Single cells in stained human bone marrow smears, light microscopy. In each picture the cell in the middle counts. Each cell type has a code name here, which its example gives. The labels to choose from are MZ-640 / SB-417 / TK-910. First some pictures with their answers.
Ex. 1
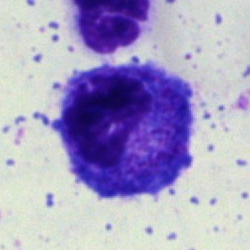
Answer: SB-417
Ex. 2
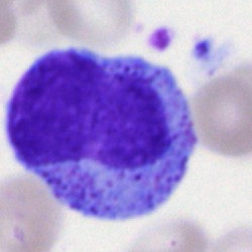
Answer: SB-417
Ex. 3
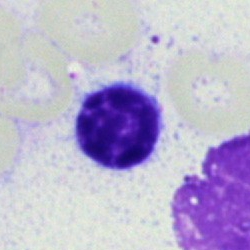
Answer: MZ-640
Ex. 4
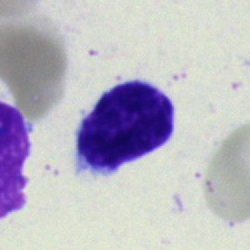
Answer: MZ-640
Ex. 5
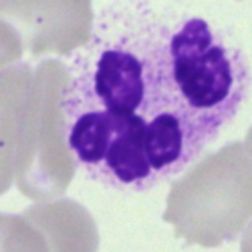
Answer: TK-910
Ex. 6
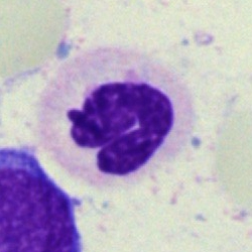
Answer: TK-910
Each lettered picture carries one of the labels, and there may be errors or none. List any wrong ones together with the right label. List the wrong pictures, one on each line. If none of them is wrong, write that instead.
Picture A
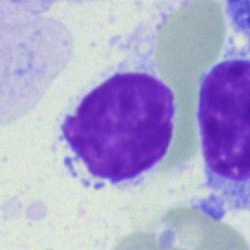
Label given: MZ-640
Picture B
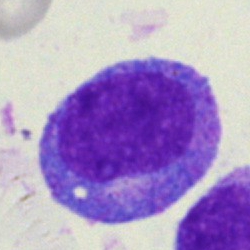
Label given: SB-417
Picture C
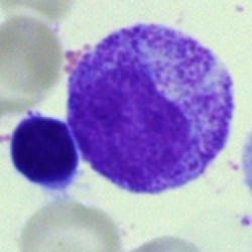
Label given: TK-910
C: change TK-910 to SB-417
